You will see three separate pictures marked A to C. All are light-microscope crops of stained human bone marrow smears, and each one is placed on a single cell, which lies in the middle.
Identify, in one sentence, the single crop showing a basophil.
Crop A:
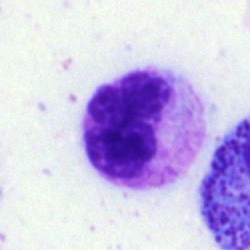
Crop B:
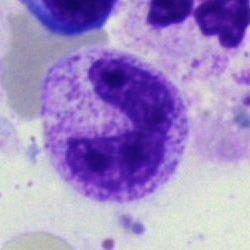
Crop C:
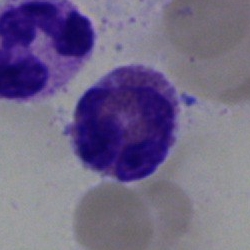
Crop A is the correct crop, and it shows a basophil.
